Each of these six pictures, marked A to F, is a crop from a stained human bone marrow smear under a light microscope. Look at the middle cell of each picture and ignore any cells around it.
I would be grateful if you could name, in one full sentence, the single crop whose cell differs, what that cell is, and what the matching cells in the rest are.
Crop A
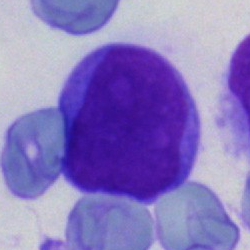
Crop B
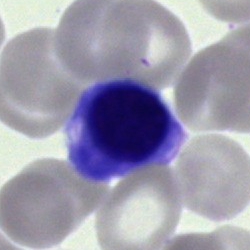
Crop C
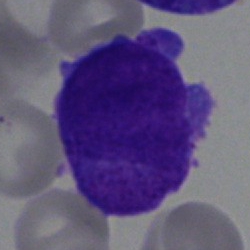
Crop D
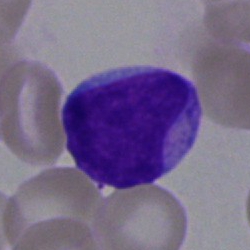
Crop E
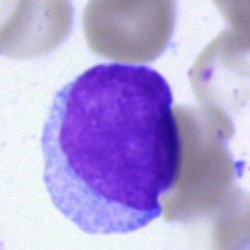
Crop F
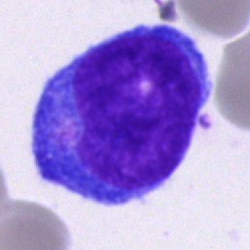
In contrast to the other crops, all of which show blasts, crop B shows a normoblast.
